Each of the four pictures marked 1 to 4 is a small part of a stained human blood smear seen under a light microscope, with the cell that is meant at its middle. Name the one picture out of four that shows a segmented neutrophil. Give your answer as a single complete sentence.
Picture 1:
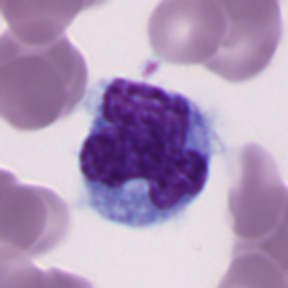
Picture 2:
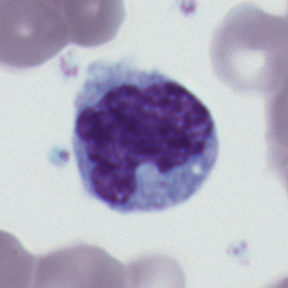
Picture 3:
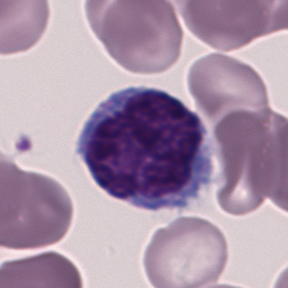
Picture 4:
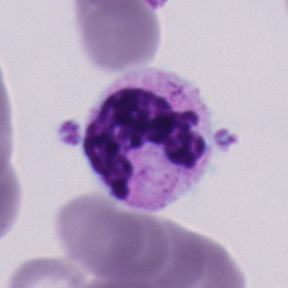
It is picture 4 that shows the segmented neutrophil.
